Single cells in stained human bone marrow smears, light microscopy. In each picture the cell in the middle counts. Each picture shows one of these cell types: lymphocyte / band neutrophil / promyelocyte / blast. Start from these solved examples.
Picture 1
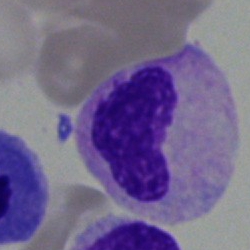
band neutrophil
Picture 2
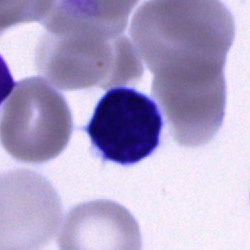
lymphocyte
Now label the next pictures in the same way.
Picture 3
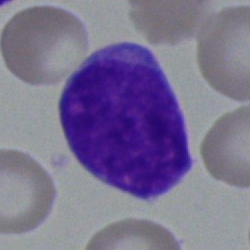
blast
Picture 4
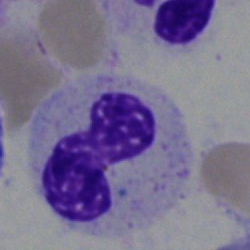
band neutrophil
